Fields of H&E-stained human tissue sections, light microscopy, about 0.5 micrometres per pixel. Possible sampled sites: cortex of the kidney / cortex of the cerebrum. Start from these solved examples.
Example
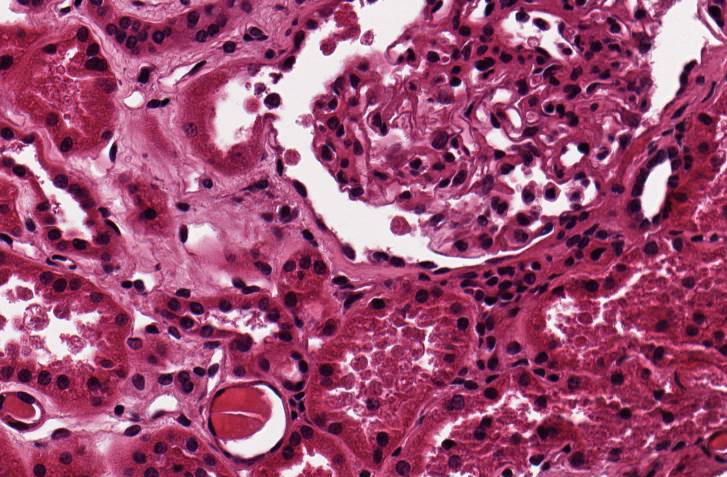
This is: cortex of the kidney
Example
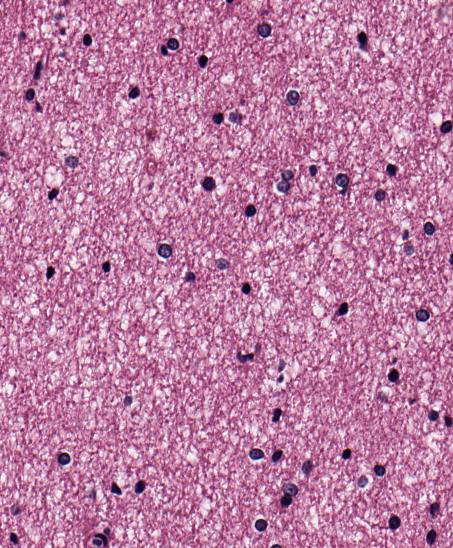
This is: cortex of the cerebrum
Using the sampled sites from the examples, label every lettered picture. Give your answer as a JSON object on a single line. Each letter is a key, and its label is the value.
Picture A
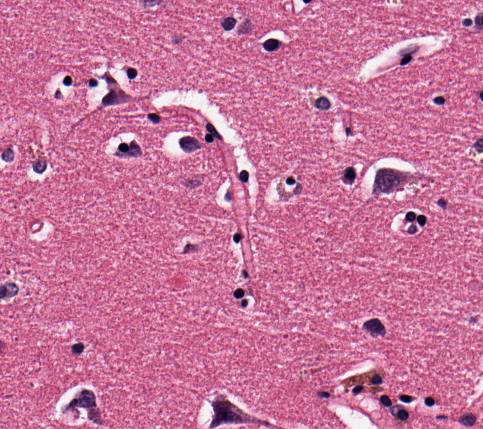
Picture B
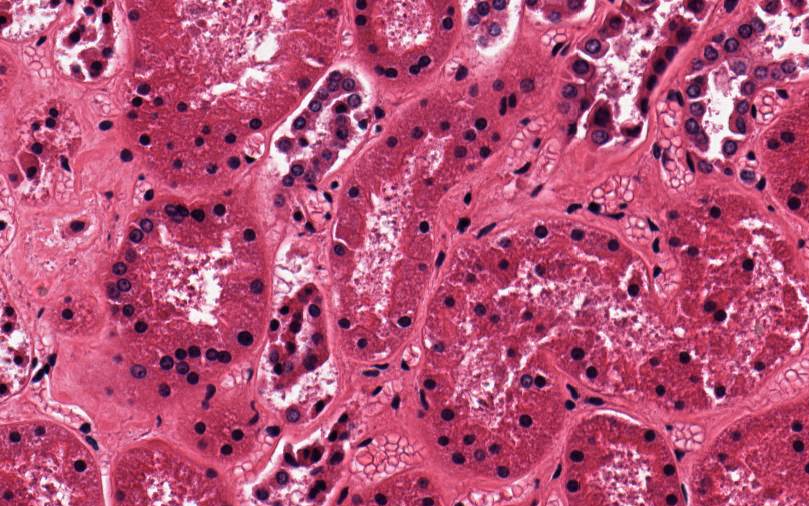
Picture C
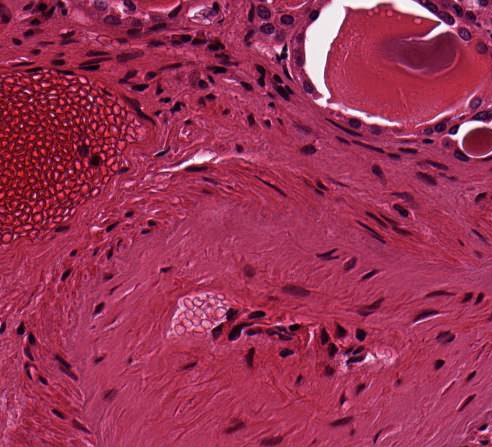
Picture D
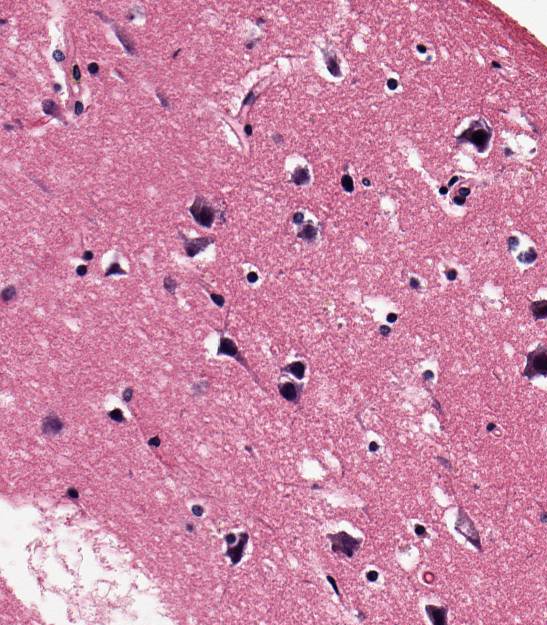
{"A": "cortex of the cerebrum", "B": "cortex of the kidney", "C": "cortex of the kidney", "D": "cortex of the cerebrum"}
